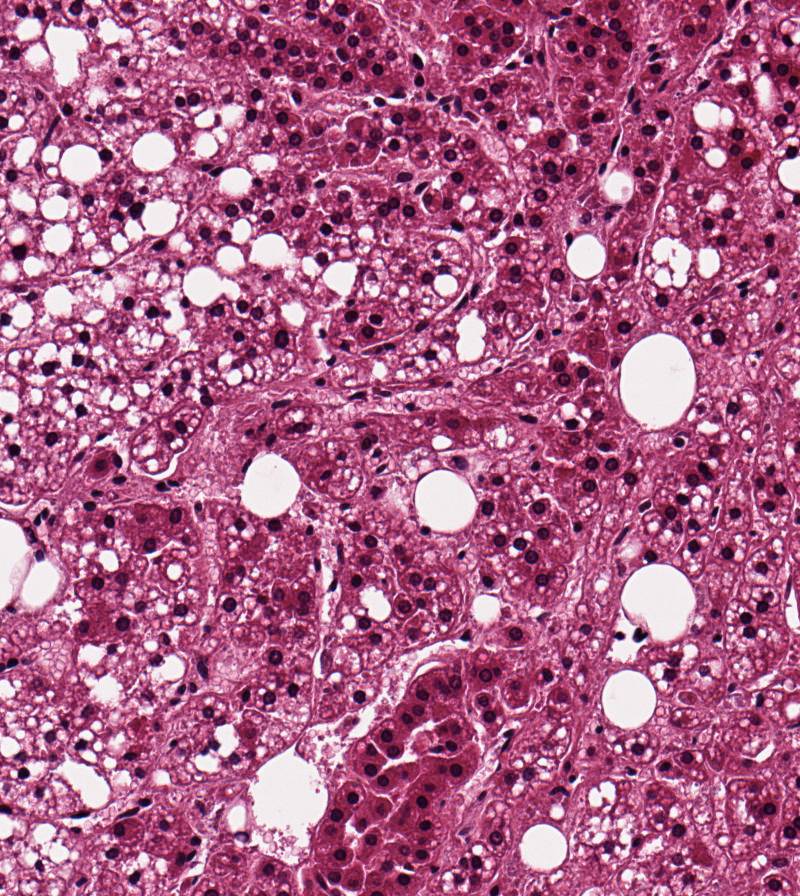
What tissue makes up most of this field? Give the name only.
zona fasciculata of the adrenal gland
